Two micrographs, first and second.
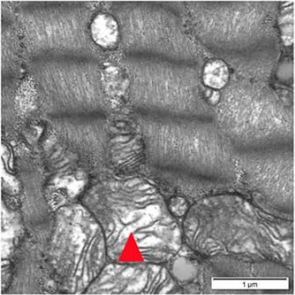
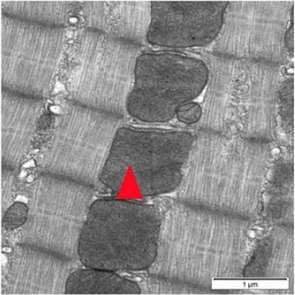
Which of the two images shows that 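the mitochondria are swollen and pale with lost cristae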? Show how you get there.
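First image: rounded, enlarged organelles with pale matrix, sparse broken inner folds and empty vacuole-like spaces. Second image: compact, dense organelles with uniform dark matrix fitting neatly between filament bundles.
Conclusion: the first image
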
